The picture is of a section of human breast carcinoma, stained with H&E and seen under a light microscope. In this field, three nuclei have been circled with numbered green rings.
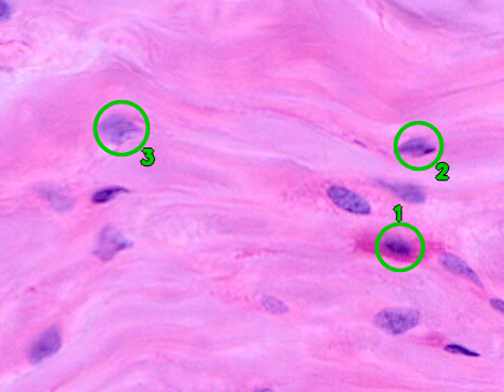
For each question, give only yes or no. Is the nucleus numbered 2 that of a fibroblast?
yes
